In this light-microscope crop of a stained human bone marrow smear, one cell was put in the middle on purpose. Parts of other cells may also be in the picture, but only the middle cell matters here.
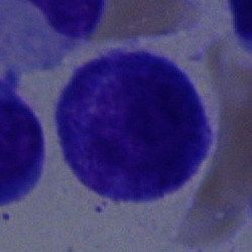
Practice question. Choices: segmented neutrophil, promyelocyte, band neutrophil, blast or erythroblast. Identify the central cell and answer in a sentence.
The crop's centre is taken up by a promyelocyte.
